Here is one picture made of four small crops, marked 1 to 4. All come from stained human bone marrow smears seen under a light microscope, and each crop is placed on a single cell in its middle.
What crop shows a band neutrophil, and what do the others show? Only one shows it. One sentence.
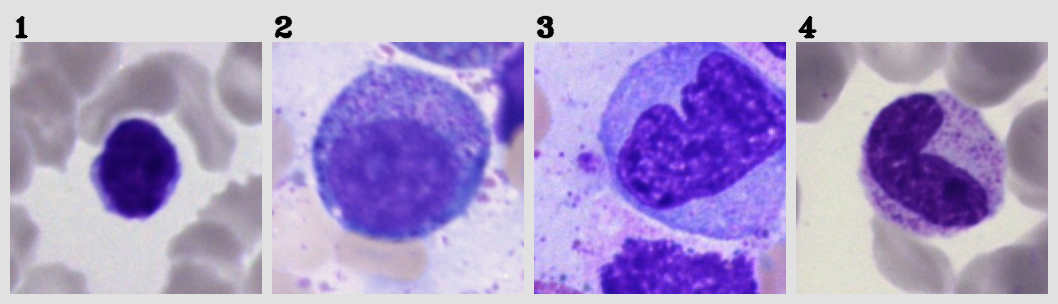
Crop 4 is where a band neutrophil is shown, whereas crop 1 is a lymphocyte, crop 2 is a promyelocyte and crop 3 is a monocyte.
